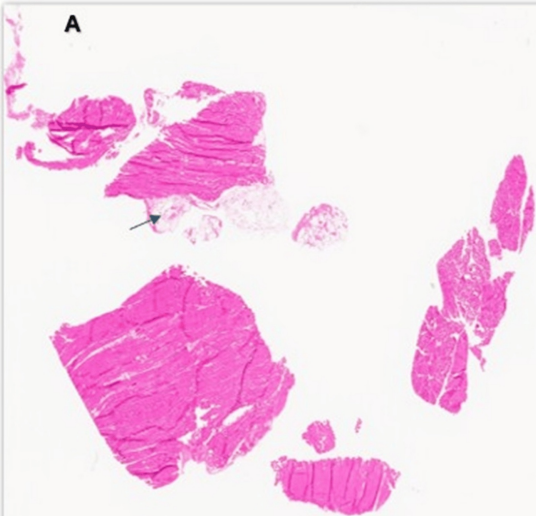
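Several fragments of skeletal muscle tissue are shown at low magnification, stained pink. In most fragments the muscle fibers run in parallel bundles, cut lengthwise in some pieces and more obliquely in others, with thin pale clefts between them. Next to one fragment lies a pale, loosely textured, fragmented area that stains much more weakly than the surrounding muscle. Individual nuclei cannot be told apart at this scale.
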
